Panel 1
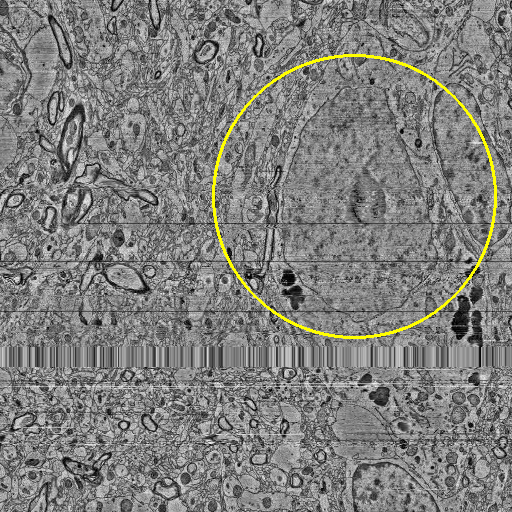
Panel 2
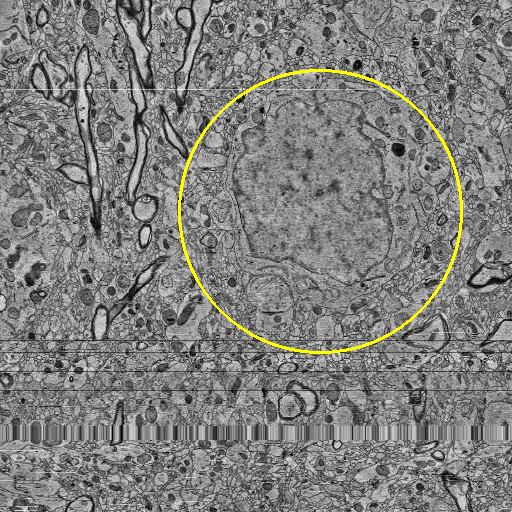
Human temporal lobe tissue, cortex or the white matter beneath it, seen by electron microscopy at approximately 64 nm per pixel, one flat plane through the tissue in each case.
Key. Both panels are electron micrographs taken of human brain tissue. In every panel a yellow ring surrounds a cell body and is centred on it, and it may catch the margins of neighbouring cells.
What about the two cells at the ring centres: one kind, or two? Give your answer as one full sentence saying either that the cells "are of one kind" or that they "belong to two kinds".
Across Panels 1 and 2, the two cells at the ring centres belong to two kinds.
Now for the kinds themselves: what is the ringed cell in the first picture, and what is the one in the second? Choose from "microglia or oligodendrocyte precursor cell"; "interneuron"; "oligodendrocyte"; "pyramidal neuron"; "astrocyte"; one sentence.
Here the first cell is a pyramidal neuron and the second cell is an interneuron.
